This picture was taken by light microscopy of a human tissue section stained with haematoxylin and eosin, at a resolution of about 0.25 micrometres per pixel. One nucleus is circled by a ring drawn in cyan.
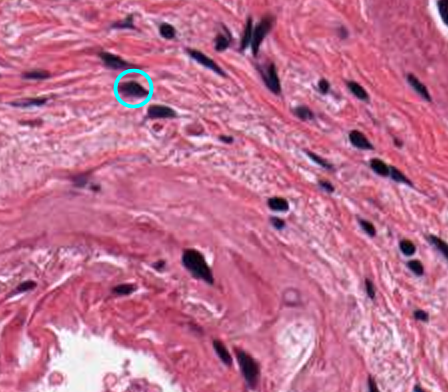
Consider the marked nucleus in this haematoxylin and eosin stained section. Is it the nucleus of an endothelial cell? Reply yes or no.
no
